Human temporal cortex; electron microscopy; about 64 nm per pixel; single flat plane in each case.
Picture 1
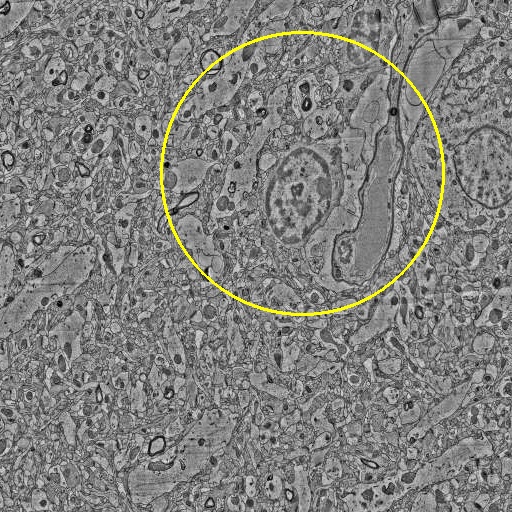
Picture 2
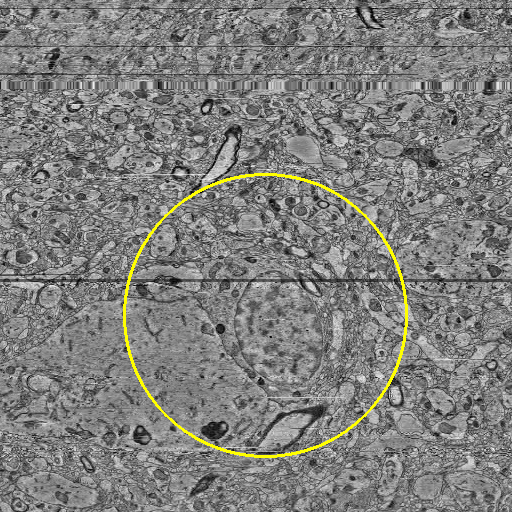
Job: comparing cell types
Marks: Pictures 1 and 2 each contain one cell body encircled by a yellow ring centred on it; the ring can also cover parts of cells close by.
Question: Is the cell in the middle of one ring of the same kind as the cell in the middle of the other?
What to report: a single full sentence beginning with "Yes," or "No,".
Yes, the cell at the ring centre in Picture 1 and its partner in Picture 2 are of one kind.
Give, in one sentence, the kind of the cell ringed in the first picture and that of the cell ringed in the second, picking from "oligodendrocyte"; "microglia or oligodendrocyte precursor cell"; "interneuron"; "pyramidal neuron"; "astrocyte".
Both pictures show an oligodendrocyte at the centre of the ring.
